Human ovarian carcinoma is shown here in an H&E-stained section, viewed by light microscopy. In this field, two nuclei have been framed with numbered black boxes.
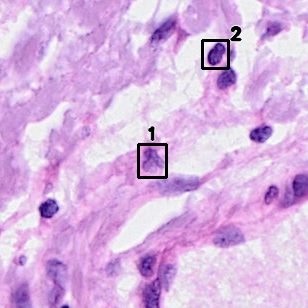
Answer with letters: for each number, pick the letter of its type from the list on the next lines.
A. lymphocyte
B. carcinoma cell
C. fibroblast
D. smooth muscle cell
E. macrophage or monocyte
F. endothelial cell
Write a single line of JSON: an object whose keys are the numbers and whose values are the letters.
{"1": "E", "2": "A"}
